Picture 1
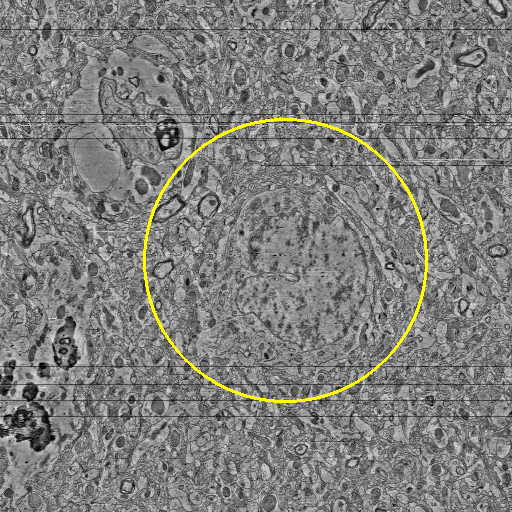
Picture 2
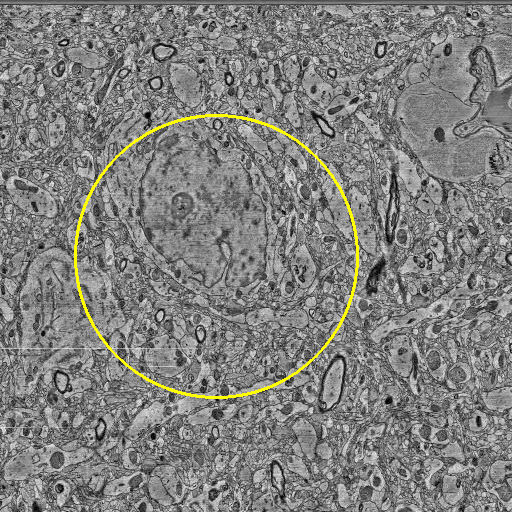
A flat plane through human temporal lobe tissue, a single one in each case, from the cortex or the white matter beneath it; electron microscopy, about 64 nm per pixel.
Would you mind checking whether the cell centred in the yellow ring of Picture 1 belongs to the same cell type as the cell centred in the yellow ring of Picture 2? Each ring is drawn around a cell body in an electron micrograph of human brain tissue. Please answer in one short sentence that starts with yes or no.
Yes, both cells are of the same type.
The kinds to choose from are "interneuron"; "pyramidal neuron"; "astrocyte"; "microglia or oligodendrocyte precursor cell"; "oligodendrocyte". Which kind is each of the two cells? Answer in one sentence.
Both cells are the same kind, each one being an interneuron.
